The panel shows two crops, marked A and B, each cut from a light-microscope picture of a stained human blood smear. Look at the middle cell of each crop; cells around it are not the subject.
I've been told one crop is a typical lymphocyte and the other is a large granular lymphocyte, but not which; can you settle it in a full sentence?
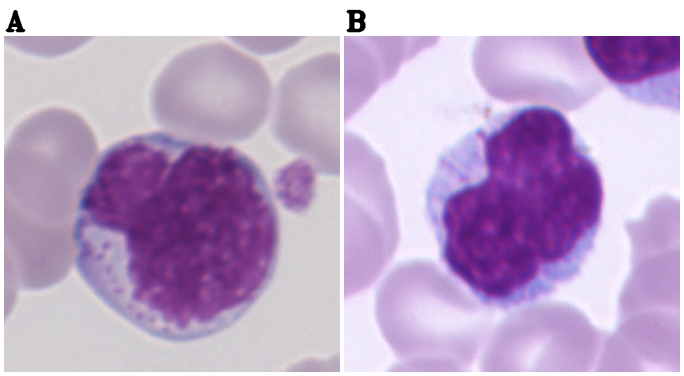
The crop labelled A is a large granular lymphocyte, and the crop labelled B is a typical lymphocyte.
